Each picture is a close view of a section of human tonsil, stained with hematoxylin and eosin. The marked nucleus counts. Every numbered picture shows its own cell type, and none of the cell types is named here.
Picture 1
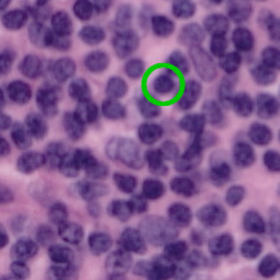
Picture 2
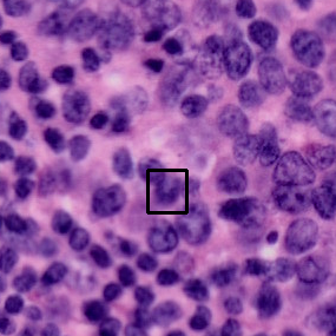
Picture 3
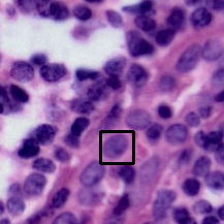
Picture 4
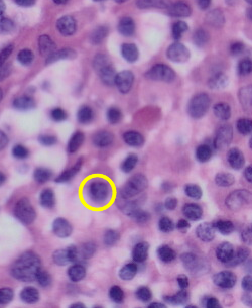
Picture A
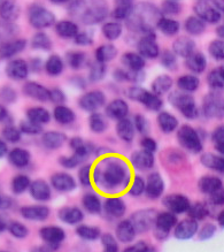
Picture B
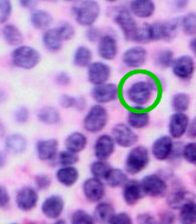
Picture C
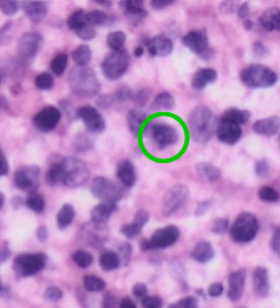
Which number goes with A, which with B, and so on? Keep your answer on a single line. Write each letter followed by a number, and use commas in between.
A 1, B 1, C 2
